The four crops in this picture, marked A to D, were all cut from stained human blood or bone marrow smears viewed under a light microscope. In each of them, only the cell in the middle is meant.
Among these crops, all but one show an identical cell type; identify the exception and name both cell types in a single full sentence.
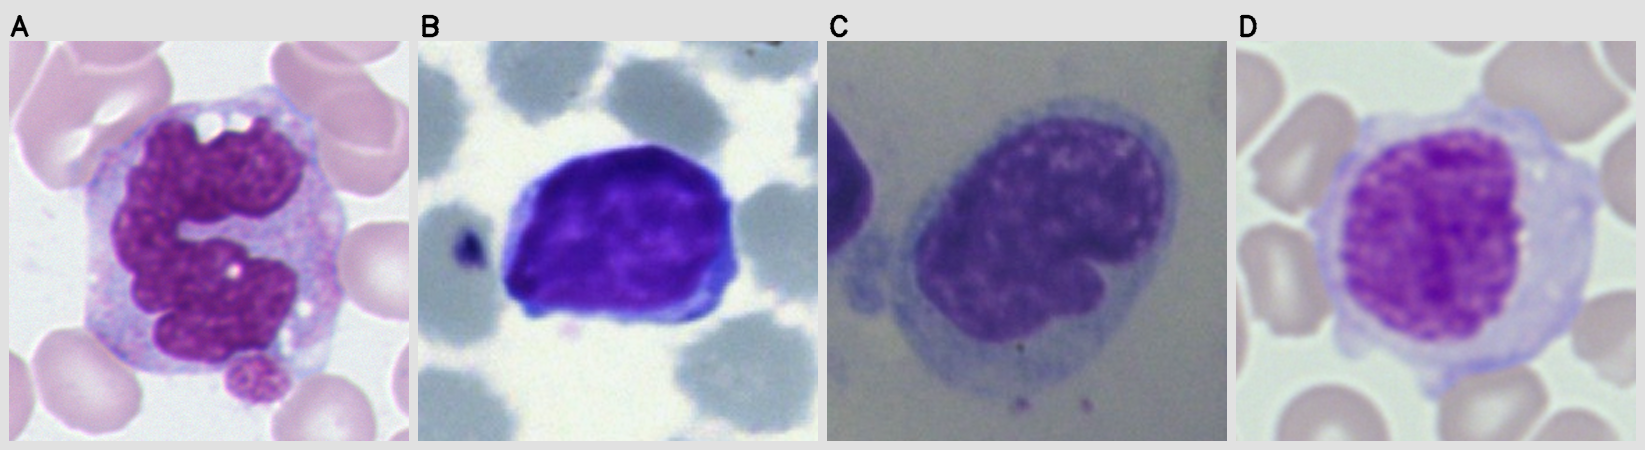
Crop B alone shows a lymphocyte; the other crops are all monocytes.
